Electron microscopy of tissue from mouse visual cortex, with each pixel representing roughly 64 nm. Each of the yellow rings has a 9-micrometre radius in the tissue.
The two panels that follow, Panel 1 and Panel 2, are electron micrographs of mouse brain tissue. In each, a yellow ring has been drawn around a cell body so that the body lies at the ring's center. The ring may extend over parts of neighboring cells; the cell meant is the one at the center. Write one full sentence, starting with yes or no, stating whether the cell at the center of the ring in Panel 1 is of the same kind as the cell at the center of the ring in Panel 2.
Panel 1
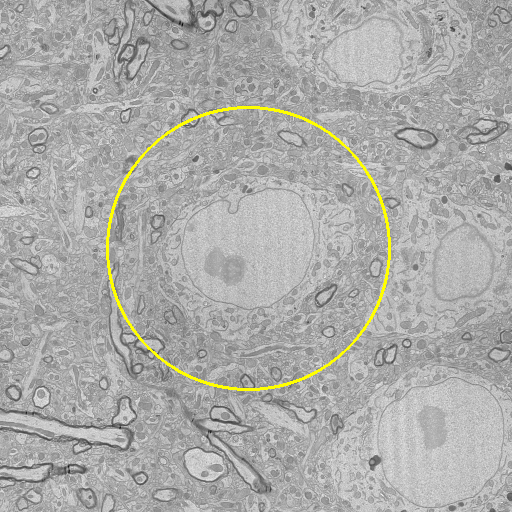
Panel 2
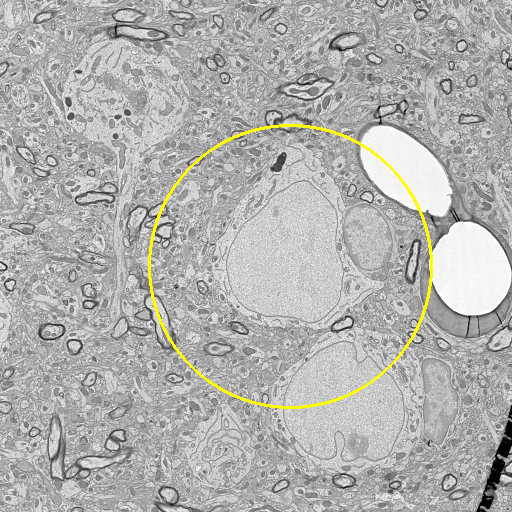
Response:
Yes, the cells in both panels are of the same kind.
